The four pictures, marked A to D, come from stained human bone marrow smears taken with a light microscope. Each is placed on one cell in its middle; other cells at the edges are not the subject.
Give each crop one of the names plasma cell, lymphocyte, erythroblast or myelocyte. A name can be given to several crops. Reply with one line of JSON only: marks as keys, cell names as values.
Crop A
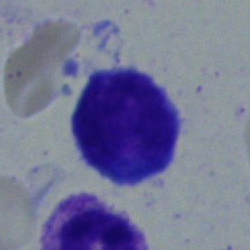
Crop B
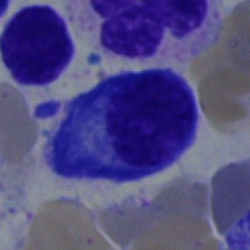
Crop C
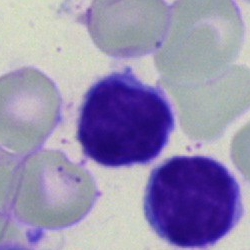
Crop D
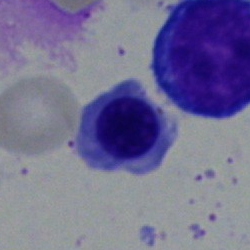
{"A": "lymphocyte", "B": "plasma cell", "C": "lymphocyte", "D": "erythroblast"}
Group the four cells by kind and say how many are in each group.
lymphocyte: 2
plasma cell: 1
erythroblast: 1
